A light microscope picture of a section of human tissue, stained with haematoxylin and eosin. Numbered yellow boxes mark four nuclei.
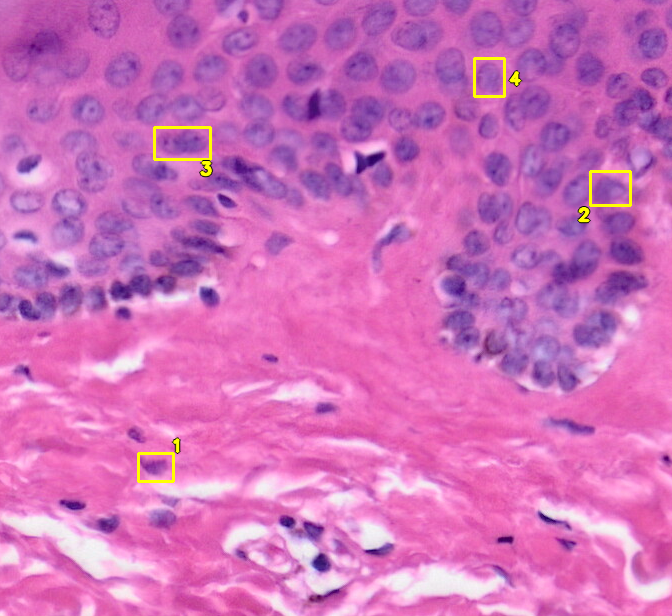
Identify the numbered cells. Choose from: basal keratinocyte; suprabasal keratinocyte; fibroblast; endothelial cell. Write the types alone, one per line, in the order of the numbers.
fibroblast
basal keratinocyte
suprabasal keratinocyte
suprabasal keratinocyte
